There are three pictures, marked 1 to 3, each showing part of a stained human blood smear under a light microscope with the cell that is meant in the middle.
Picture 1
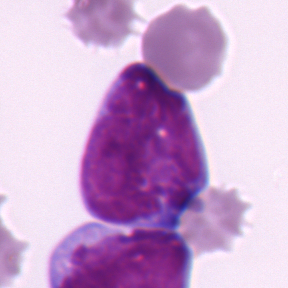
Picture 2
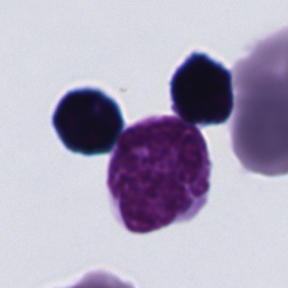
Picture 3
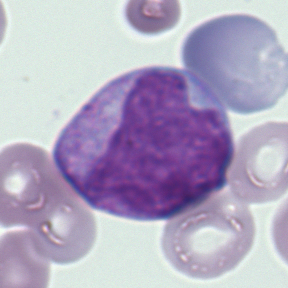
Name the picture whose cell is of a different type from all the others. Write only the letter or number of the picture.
3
